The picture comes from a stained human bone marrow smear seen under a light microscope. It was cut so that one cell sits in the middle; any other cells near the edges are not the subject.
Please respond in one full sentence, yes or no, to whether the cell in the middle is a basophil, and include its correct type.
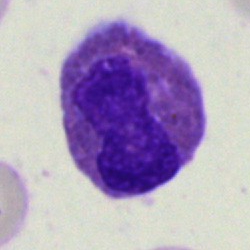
No, the middle cell is not a basophil, it being an eosinophil.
